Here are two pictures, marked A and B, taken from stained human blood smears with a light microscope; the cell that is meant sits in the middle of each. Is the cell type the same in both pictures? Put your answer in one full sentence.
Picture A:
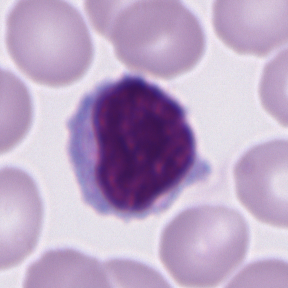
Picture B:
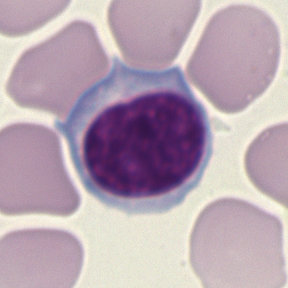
Yes, both cells are typical lymphocytes.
